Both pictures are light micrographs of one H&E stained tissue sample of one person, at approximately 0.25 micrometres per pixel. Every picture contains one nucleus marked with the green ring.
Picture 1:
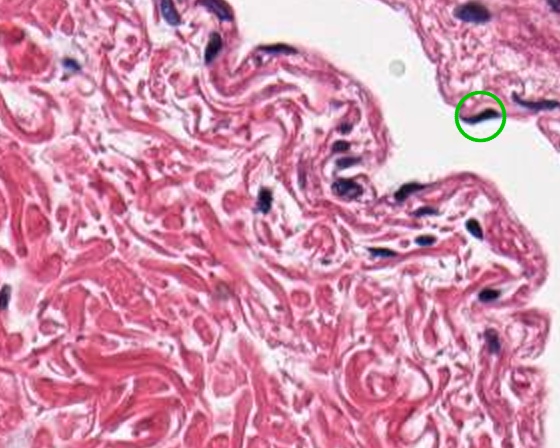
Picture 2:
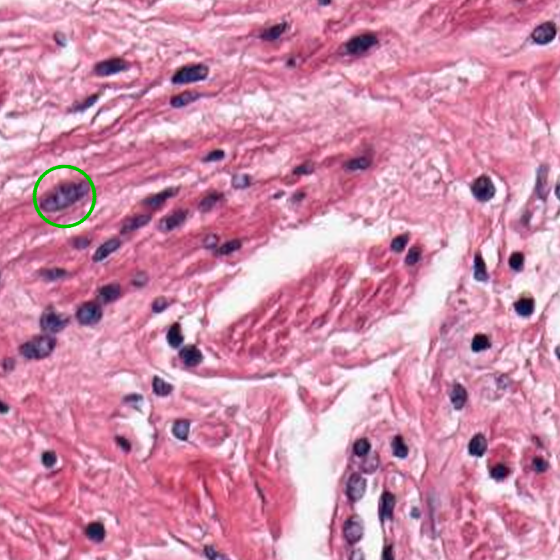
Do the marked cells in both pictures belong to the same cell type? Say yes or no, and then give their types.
No, the first is an endothelial cell and the second a smooth muscle cell.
